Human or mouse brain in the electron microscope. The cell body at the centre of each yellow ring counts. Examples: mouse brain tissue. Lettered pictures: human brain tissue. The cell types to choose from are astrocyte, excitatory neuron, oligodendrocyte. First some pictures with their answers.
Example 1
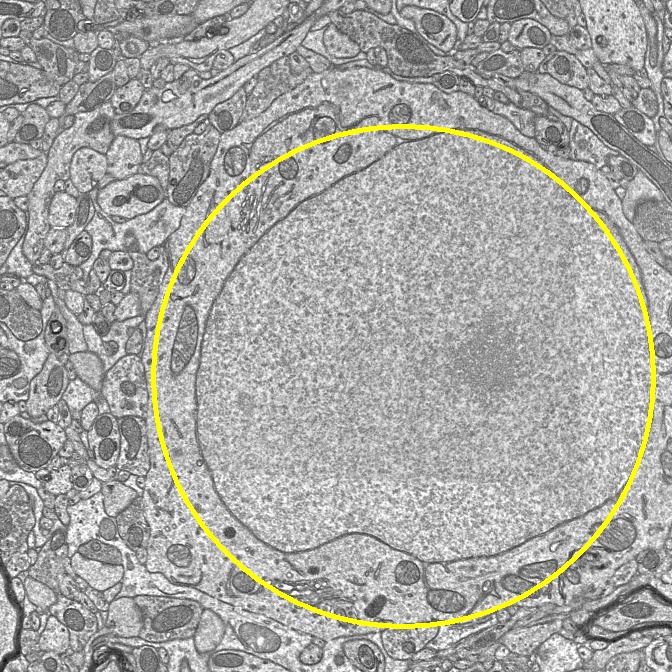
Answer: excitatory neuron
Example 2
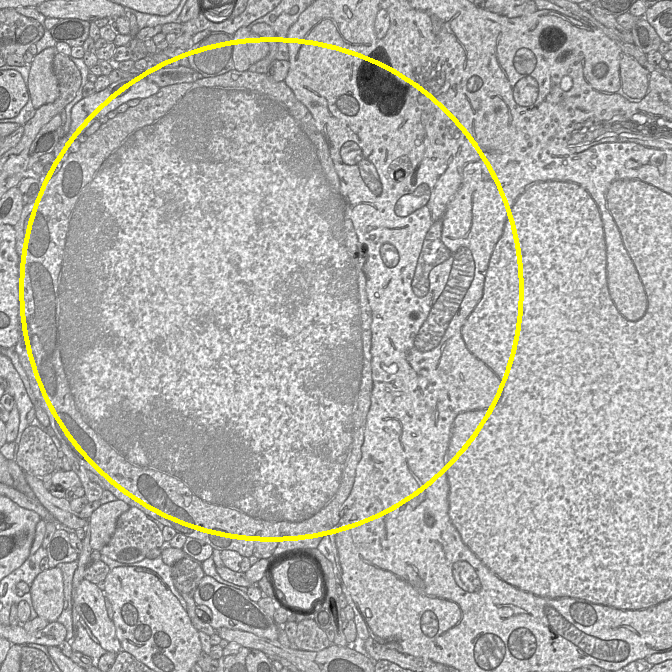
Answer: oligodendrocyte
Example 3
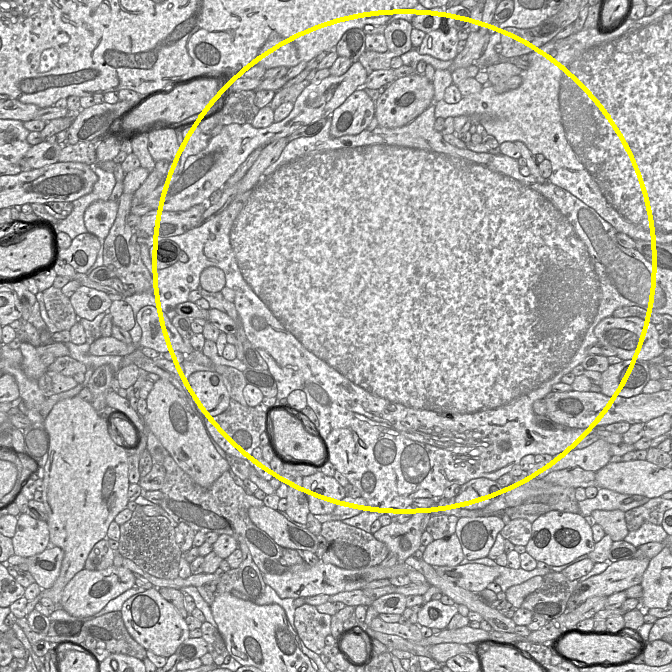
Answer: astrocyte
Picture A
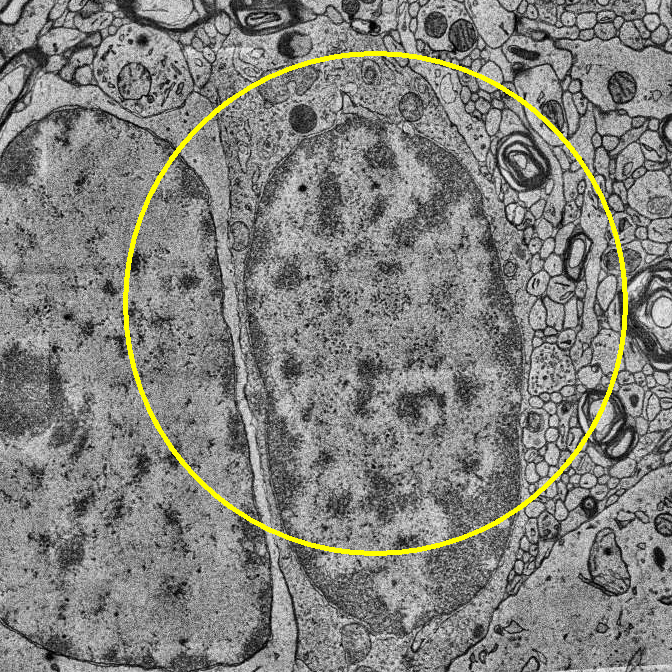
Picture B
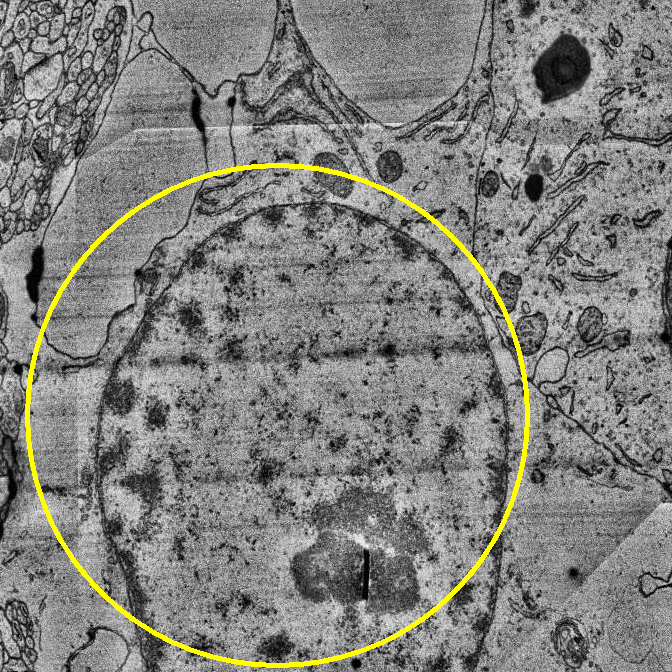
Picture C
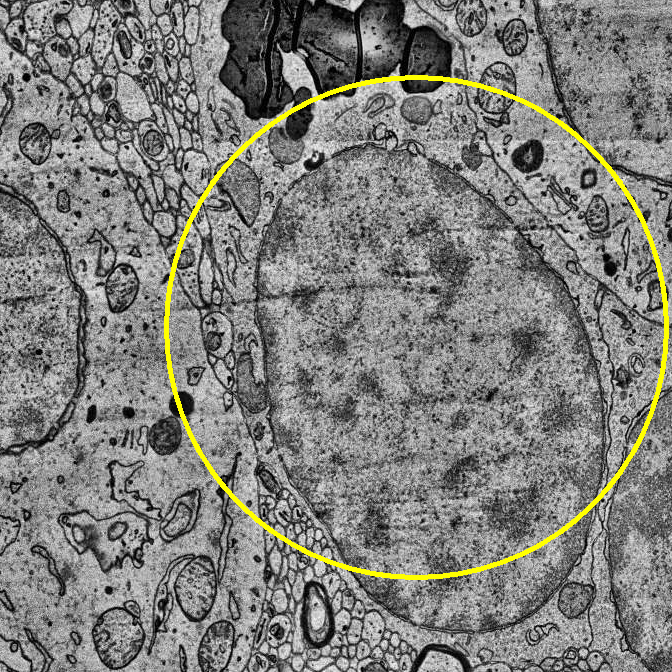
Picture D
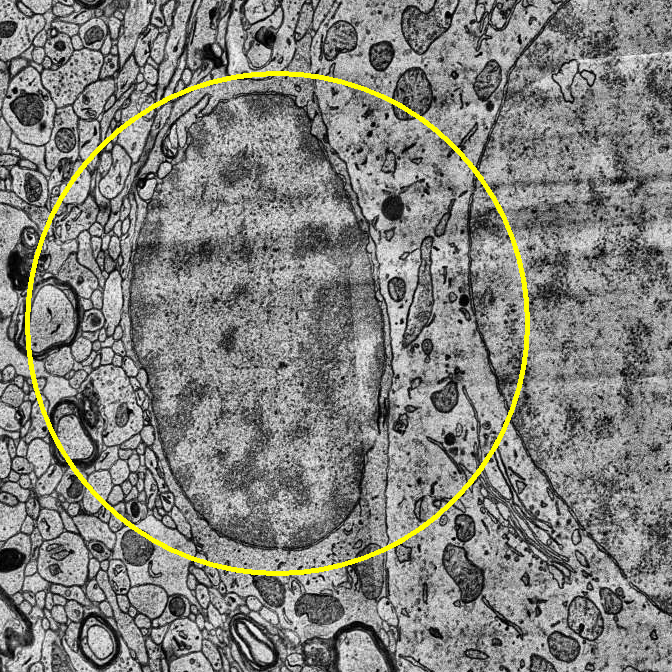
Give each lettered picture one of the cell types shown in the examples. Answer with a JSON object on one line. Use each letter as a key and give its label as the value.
{"A": "oligodendrocyte", "B": "astrocyte", "C": "oligodendrocyte", "D": "oligodendrocyte"}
